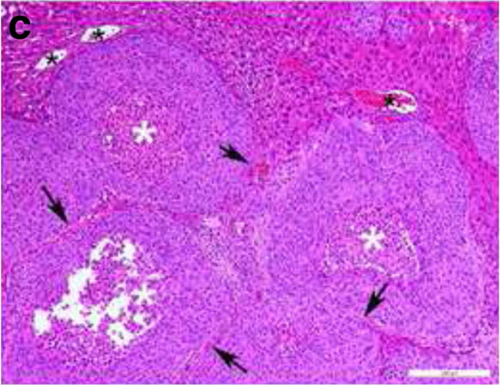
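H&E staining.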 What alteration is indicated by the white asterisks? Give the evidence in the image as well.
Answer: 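The white asterisks lie in the centres of rounded cell nests. These centres are loosely cellular, paler, with debris and empty spaces. That points to this answer: necrosis.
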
